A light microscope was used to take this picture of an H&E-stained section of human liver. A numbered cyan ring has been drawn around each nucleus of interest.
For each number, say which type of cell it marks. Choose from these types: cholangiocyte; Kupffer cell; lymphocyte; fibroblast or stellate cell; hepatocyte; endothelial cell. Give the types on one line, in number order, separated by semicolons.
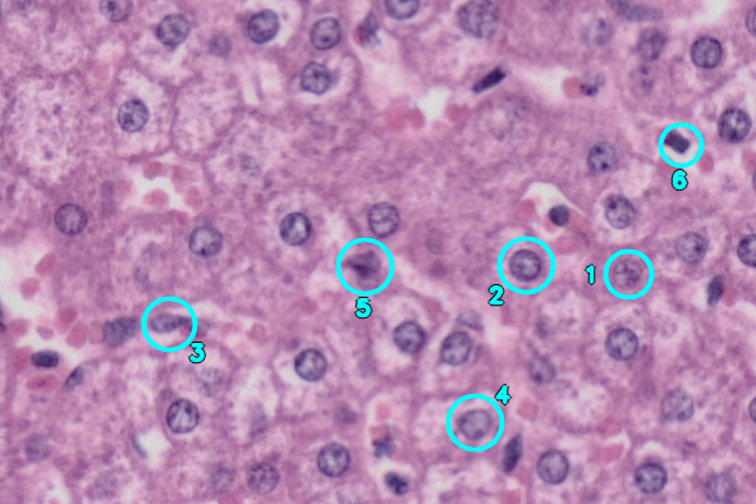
hepatocyte; hepatocyte; Kupffer cell; hepatocyte; endothelial cell; lymphocyte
